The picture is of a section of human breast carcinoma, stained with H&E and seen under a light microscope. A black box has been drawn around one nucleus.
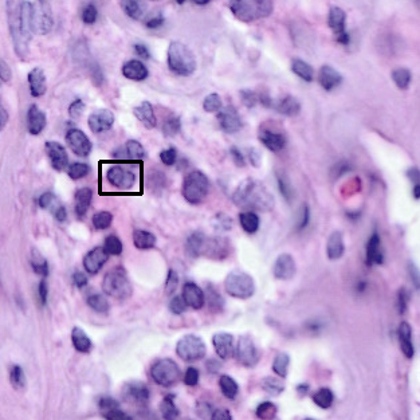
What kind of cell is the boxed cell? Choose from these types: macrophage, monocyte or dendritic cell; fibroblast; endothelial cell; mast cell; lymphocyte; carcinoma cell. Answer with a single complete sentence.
In cell-type terms, the boxed cell is a lymphocyte.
